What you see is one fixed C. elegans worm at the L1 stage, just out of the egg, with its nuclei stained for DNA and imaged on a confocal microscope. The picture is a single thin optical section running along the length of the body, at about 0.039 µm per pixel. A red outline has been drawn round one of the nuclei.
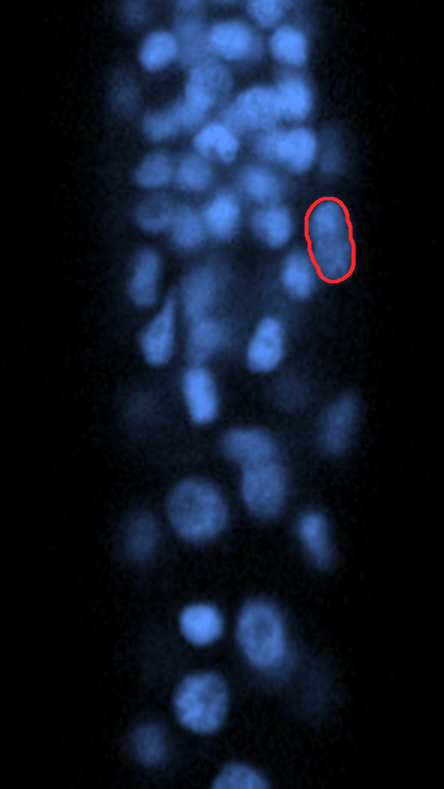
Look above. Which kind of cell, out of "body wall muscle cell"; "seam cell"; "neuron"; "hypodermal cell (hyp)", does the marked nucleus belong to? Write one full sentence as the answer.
This nucleus is from a body wall muscle cell.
